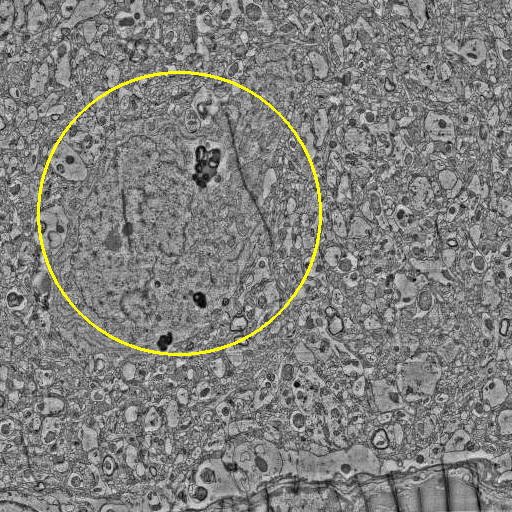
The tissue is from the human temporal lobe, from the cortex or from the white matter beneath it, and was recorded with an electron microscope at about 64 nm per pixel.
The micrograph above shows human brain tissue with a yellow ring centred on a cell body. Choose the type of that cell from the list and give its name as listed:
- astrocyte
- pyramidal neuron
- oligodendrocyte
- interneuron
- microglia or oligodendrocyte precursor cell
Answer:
interneuron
